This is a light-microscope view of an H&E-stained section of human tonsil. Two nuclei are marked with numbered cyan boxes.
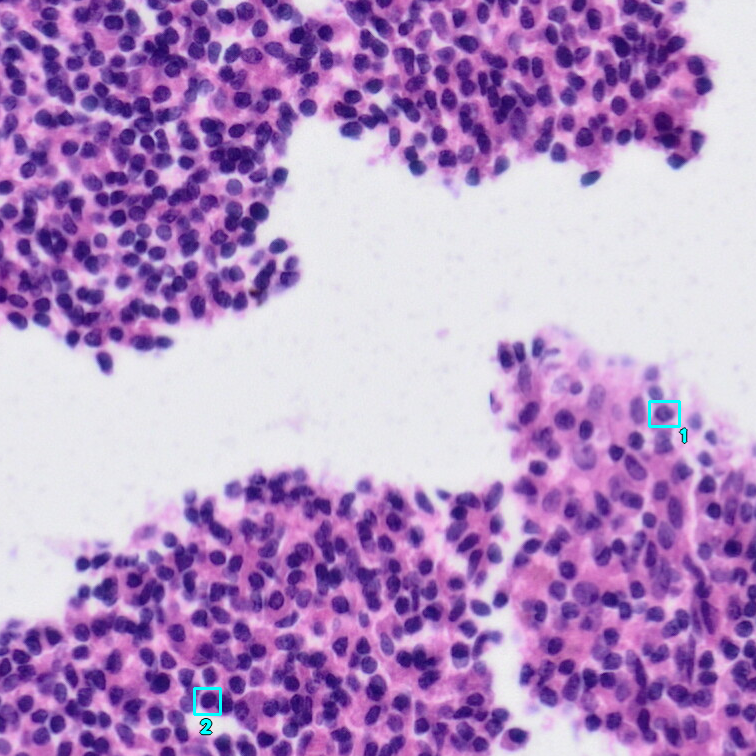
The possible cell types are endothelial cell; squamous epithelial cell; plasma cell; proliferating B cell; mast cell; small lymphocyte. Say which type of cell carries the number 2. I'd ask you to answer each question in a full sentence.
The cell pointed out as number 2 is a small lymphocyte.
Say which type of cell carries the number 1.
In this section, number 1 marks a plasma cell.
